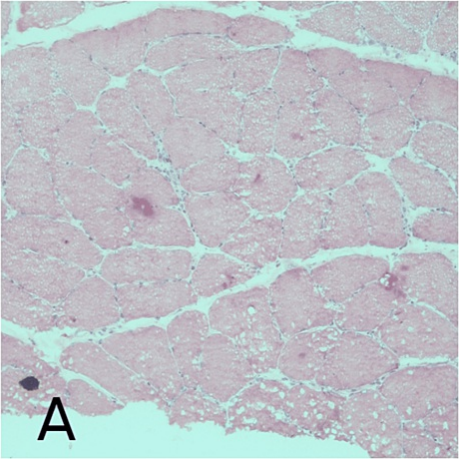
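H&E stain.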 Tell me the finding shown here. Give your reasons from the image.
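Variation in muscle fiber. Pink, polygonal fibers in cross-section differ clearly in size. Fibers are grouped in fascicles separated by pale connective tissue.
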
